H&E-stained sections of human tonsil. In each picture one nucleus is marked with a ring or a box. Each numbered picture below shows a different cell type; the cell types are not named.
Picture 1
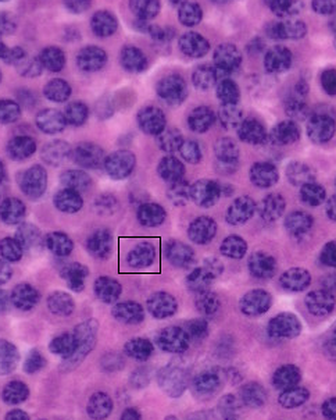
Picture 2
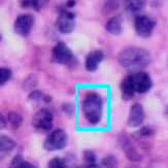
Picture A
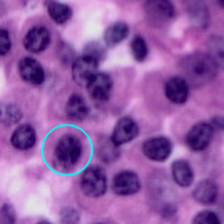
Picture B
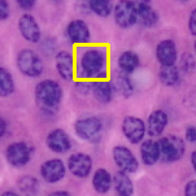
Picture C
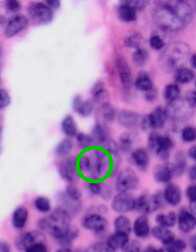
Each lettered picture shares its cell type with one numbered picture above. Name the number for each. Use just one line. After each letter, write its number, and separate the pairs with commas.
A 1, B 1, C 2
